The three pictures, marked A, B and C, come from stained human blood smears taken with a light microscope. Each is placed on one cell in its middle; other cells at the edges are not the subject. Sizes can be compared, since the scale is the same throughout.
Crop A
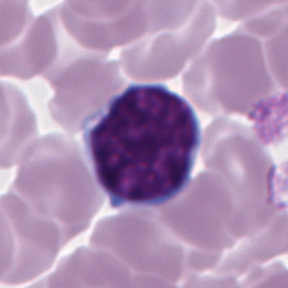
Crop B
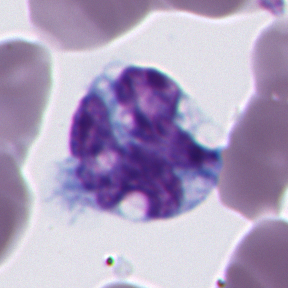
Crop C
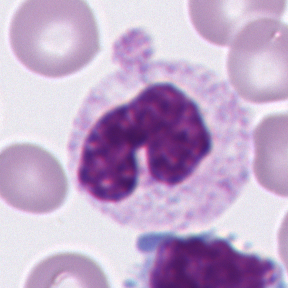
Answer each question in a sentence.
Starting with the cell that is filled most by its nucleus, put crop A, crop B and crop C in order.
From the most filled to the least, the order is A, B, C.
